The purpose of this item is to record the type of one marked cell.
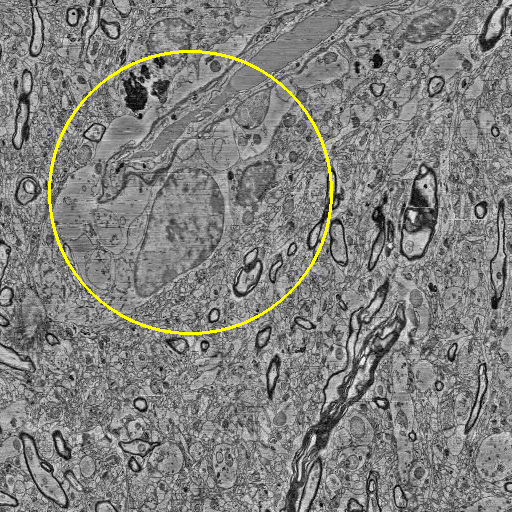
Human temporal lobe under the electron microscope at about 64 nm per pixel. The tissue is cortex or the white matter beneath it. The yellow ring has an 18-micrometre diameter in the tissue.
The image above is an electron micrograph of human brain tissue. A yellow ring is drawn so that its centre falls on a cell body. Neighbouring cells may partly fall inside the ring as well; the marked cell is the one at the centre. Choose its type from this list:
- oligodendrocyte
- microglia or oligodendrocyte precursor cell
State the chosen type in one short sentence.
What the ring marks here is a microglial cell or oligodendrocyte precursor cell.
